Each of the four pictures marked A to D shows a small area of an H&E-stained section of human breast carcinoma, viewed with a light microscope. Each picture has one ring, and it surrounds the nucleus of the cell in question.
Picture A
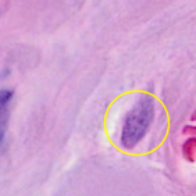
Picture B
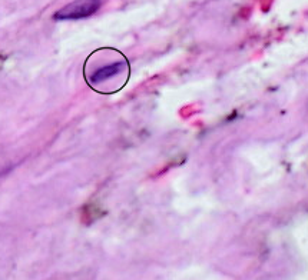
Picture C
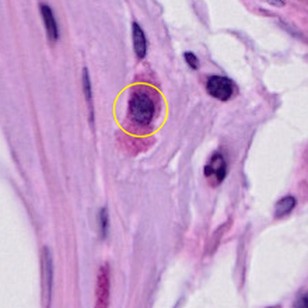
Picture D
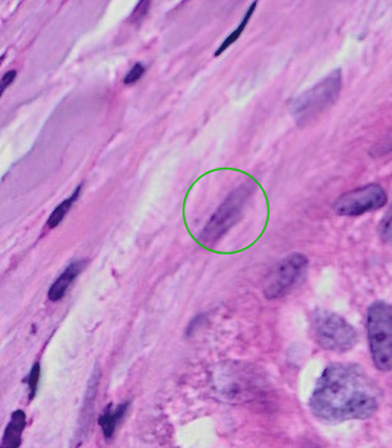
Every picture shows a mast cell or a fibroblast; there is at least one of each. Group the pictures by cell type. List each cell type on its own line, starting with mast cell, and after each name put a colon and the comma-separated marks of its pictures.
mast cell: C
fibroblast: A, B, D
